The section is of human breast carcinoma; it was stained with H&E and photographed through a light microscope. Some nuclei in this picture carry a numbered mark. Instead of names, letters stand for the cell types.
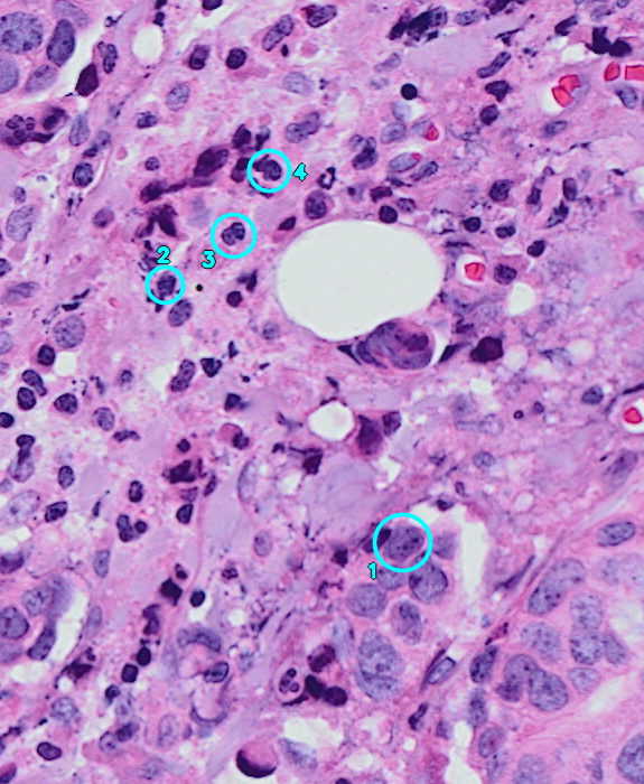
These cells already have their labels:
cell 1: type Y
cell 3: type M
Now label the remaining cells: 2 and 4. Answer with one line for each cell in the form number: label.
2: type M
4: type M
